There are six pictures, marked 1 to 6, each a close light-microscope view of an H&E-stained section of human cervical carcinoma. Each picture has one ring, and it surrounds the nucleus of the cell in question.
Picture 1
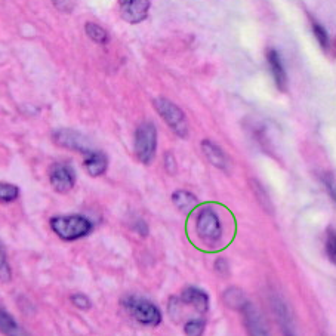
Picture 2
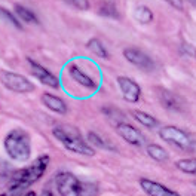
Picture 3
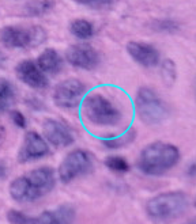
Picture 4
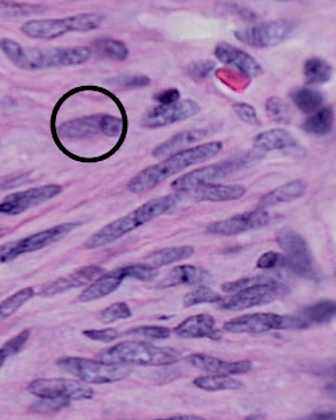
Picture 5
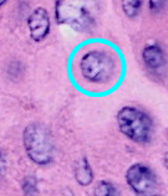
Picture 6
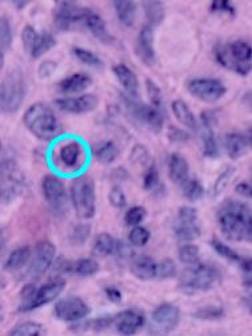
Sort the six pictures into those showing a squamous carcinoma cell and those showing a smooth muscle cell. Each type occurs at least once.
1: smooth muscle cell
2: smooth muscle cell
3: squamous carcinoma cell
4: smooth muscle cell
5: squamous carcinoma cell
6: squamous carcinoma cell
